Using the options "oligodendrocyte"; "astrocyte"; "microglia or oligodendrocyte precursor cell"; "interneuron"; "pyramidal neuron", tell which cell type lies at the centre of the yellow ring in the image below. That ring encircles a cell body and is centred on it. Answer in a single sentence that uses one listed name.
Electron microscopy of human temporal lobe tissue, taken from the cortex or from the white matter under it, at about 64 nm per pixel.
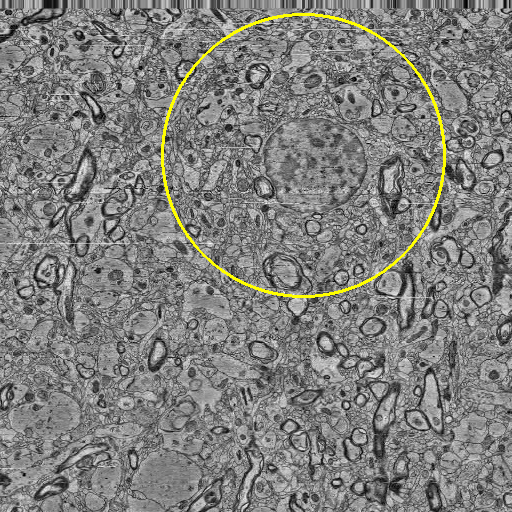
At the centre of the yellow ring lies the body of an oligodendrocyte.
